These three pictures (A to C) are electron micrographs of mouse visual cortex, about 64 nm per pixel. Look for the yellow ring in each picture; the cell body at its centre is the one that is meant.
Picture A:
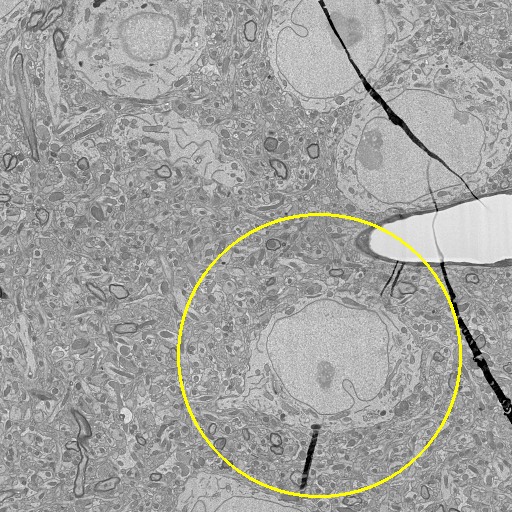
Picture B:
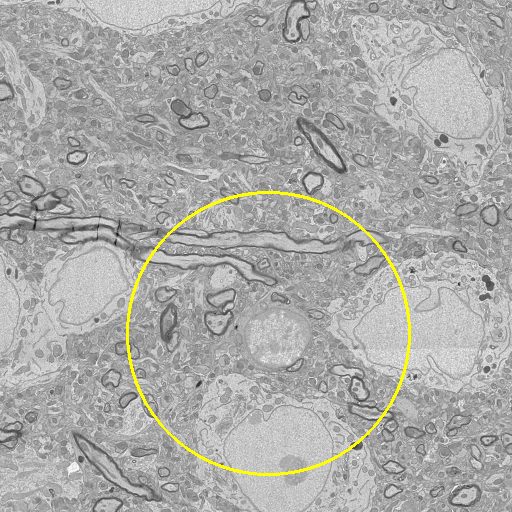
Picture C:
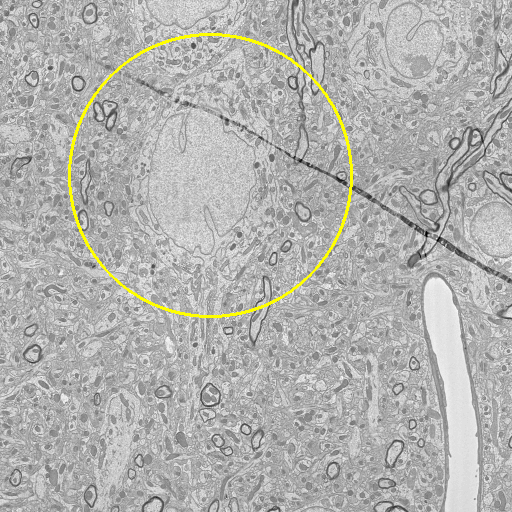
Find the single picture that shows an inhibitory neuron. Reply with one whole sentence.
The inhibitory neuron is the one in picture C.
